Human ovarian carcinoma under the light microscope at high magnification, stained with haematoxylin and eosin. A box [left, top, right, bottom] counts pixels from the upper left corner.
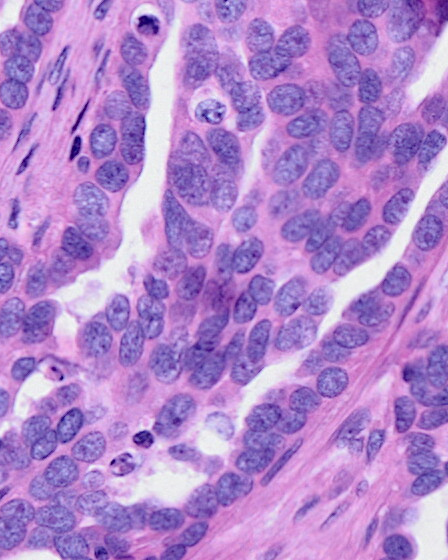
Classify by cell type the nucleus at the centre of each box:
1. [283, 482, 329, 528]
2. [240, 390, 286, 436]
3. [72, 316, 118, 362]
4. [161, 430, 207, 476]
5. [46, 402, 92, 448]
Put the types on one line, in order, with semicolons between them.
fibroblast; carcinoma cell; carcinoma cell; macrophage or monocyte; carcinoma cell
